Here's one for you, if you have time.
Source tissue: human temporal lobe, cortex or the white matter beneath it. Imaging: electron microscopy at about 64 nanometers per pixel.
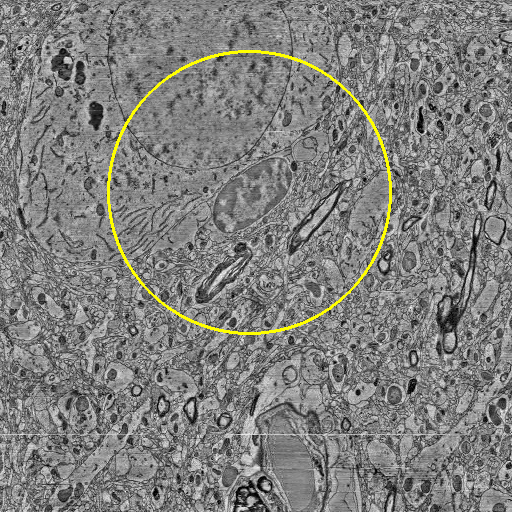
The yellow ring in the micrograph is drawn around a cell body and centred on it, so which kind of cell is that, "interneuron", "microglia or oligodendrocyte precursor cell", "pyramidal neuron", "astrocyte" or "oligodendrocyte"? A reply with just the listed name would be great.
microglia or oligodendrocyte precursor cell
